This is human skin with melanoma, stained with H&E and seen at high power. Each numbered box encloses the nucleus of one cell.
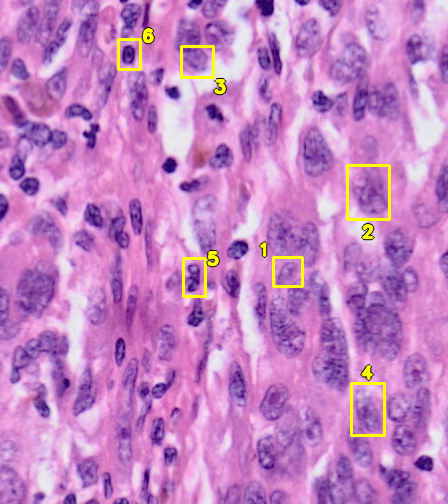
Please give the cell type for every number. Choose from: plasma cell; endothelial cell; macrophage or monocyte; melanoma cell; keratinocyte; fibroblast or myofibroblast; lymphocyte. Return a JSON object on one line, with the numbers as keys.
{"1": "melanoma cell", "2": "melanoma cell", "3": "melanoma cell", "4": "melanoma cell", "5": "lymphocyte", "6": "lymphocyte"}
